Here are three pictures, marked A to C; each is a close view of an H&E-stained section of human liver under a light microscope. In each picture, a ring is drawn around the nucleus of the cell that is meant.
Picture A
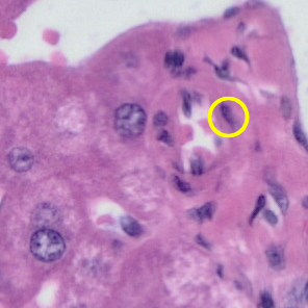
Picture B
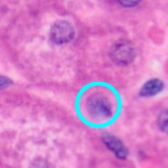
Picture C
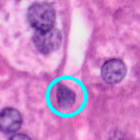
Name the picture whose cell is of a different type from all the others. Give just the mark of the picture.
A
